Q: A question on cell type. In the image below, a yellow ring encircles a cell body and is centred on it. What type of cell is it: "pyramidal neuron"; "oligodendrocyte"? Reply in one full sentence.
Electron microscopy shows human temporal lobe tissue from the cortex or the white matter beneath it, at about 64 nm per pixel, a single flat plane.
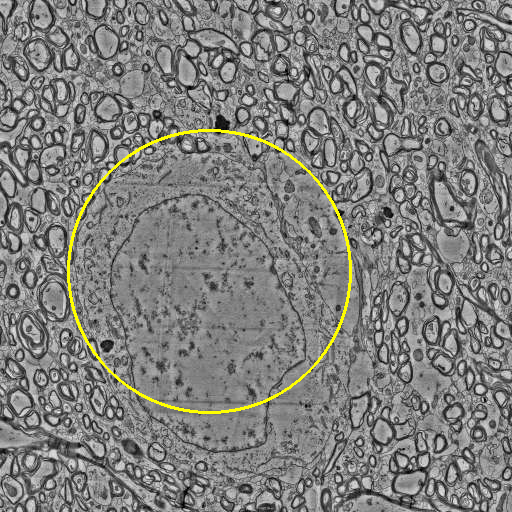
It is a pyramidal neuron whose cell body sits at the centre of the yellow ring in the image.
